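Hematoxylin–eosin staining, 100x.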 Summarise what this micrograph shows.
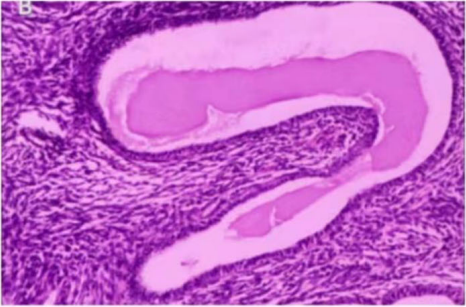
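This field shows an irregular, elongated gland lying within a densely cellular stroma. The gland is long and folded back on itself, forming a tortuous, hook-like lumen. The lumen is filled with pink secretion, and a clear space separates the secretion from the lining. A thin layer of epithelium with dark nuclei lines the gland. The surrounding stroma is made of closely packed spindle cells with dark, elongated nuclei. These stromal cells appear condensed around the gland.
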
